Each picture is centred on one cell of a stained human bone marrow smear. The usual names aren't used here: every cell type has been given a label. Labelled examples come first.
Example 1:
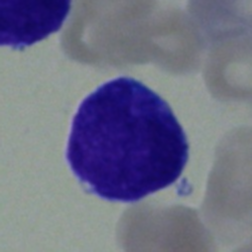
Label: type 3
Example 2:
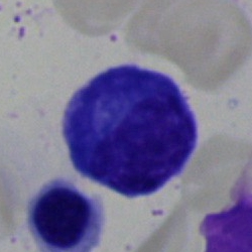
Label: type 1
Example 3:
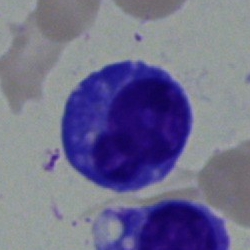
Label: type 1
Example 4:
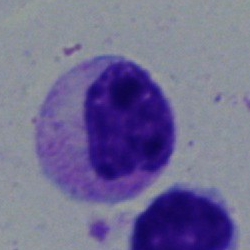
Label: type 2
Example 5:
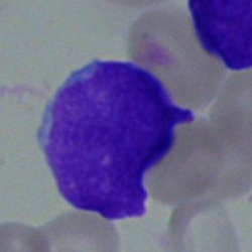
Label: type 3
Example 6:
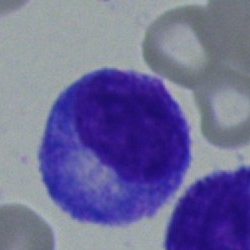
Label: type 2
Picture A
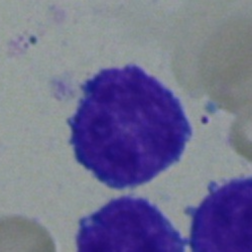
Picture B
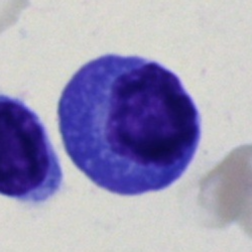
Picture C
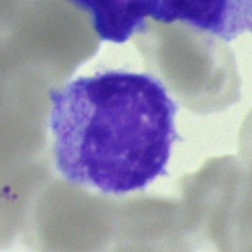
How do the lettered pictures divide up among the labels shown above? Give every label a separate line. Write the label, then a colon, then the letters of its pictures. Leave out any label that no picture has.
type 3: A
type 1: B
type 2: C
